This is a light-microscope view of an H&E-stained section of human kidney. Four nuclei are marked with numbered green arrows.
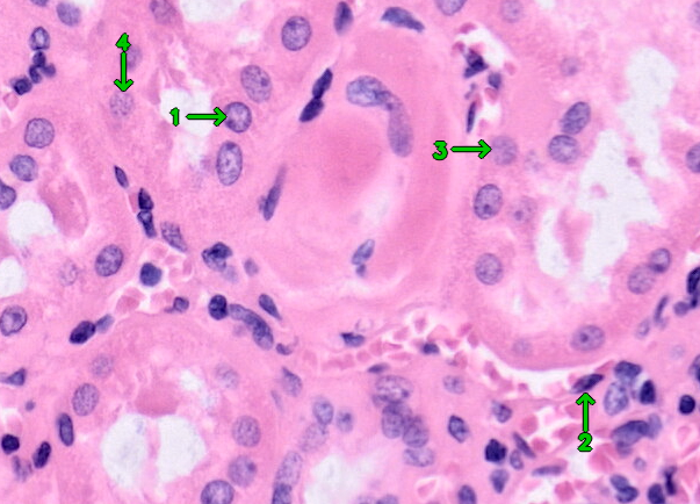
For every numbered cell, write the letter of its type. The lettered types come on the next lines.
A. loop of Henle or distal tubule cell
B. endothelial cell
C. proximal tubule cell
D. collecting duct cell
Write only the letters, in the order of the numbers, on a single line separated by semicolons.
C; B; C; C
